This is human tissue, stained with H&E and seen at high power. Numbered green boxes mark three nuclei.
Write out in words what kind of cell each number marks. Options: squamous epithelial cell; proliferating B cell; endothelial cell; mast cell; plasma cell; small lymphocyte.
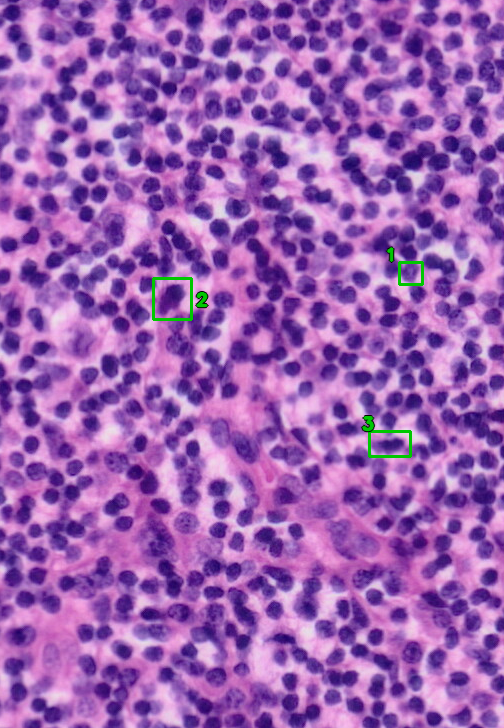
Cells 1 and 3 are small lymphocytes. Cell 2 is a proliferating B cell.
